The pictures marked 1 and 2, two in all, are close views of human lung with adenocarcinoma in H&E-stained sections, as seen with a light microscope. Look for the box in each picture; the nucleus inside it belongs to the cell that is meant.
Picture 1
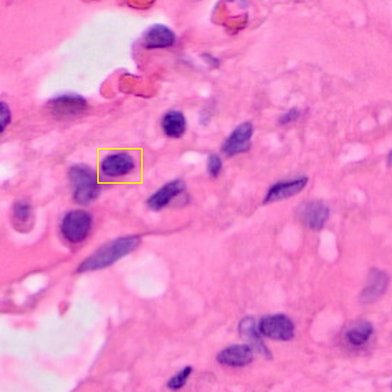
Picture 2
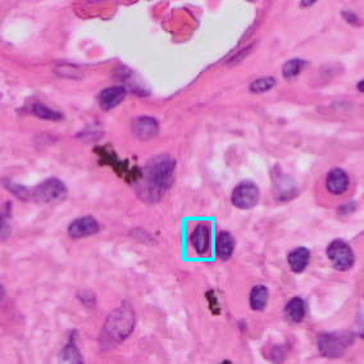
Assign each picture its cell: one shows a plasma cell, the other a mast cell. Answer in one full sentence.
Picture 1 is of a mast cell, and picture 2 is of a plasma cell.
